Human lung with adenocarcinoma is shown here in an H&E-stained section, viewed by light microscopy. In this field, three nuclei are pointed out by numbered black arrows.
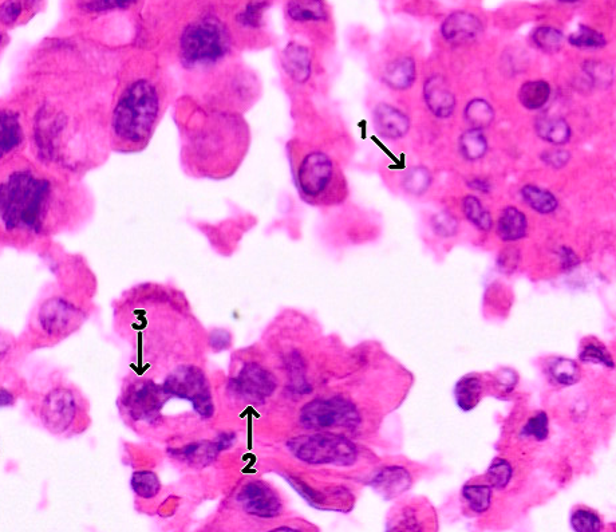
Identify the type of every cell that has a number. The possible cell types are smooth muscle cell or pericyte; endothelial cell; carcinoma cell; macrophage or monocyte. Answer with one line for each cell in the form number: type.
1: macrophage or monocyte
2: carcinoma cell
3: carcinoma cell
